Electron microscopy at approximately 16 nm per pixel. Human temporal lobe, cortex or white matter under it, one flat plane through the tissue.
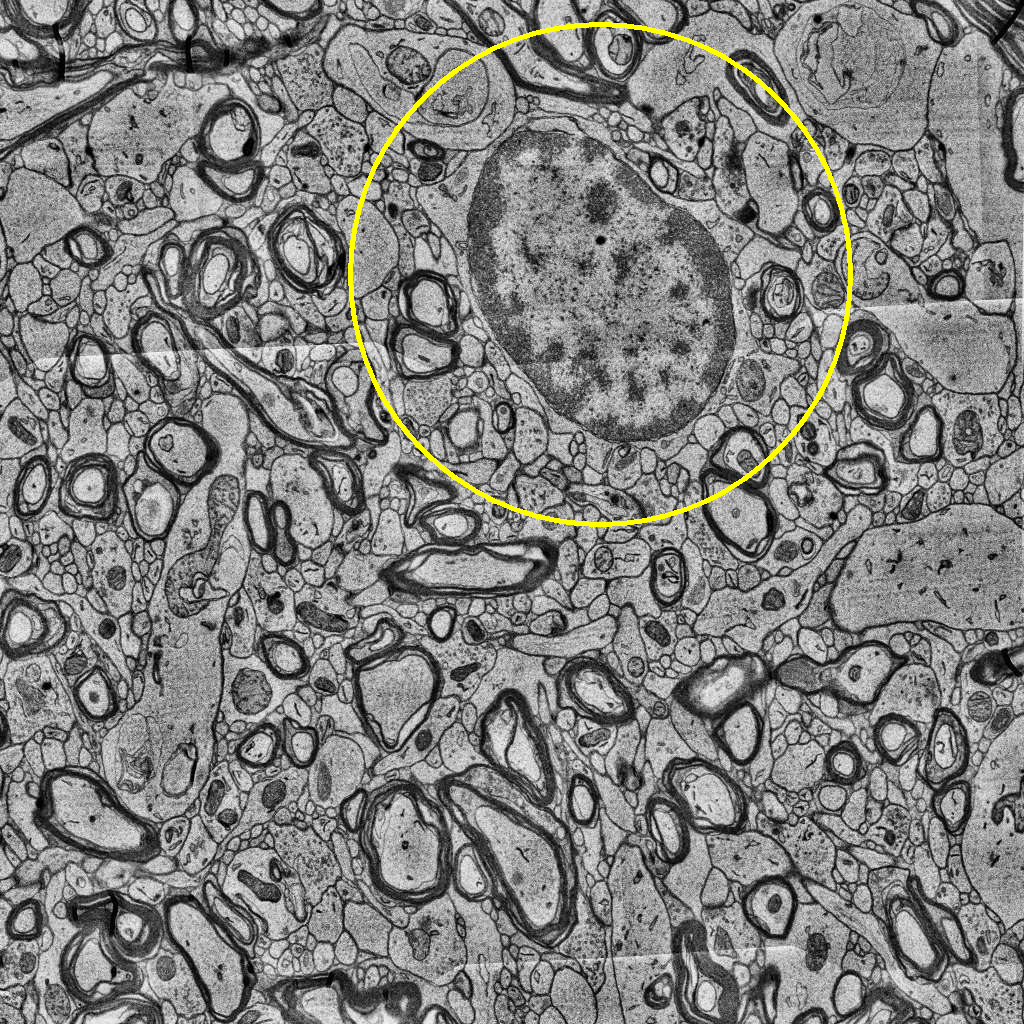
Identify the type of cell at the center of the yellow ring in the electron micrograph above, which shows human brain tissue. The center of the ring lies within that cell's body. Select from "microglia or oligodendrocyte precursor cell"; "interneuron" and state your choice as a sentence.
The center of the yellow ring lies in the body of a microglial cell or oligodendrocyte precursor cell.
